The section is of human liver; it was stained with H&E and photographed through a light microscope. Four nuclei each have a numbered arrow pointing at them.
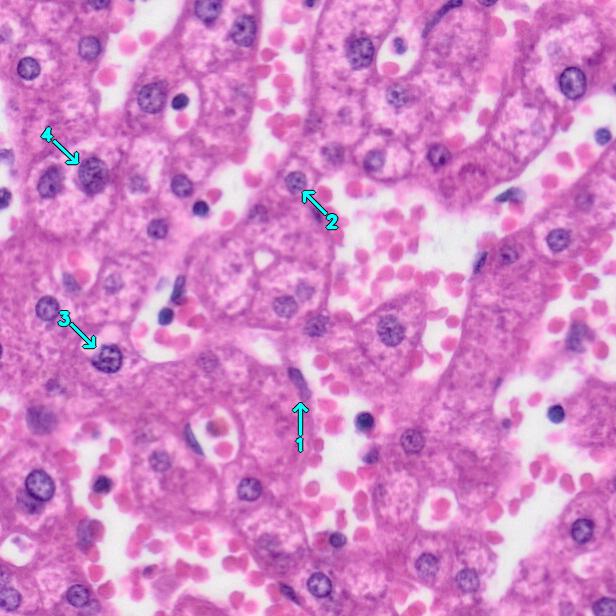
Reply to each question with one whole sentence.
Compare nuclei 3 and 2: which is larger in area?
The larger nucleus is 3, at roughly 2 times the area of 2.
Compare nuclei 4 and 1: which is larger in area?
Of the two, number 4 is bigger and takes up about 2.5 times the area of number 1.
